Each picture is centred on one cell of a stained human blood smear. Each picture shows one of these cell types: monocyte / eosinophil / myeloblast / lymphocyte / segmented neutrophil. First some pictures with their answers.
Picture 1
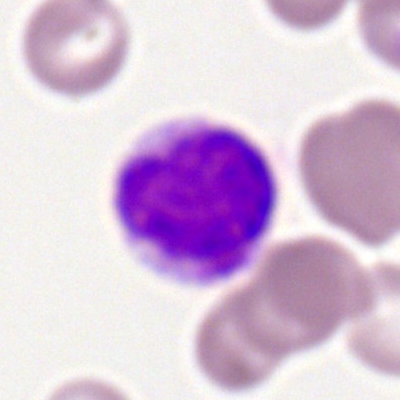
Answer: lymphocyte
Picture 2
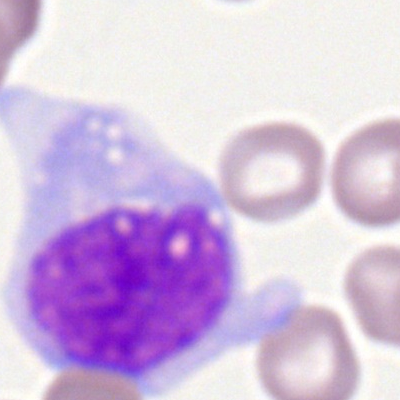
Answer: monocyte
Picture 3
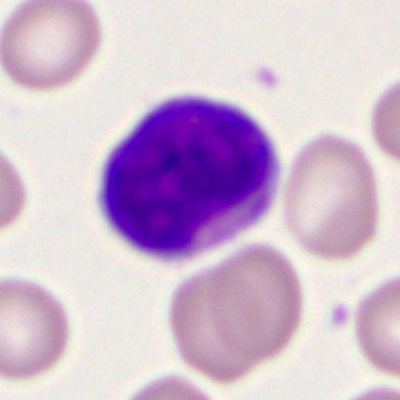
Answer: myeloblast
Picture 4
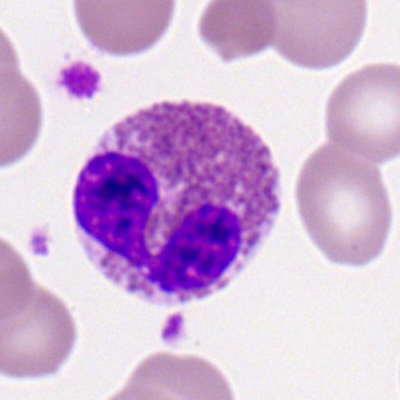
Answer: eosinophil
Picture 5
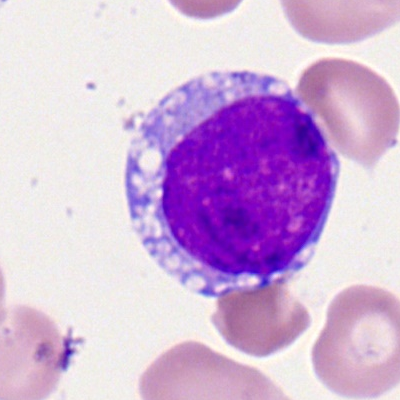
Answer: myeloblast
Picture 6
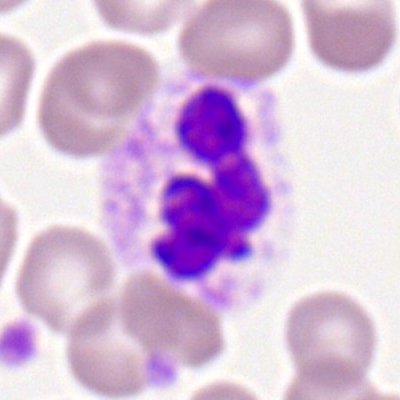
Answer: segmented neutrophil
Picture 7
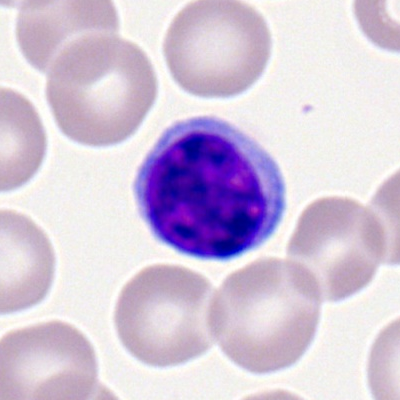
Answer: lymphocyte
